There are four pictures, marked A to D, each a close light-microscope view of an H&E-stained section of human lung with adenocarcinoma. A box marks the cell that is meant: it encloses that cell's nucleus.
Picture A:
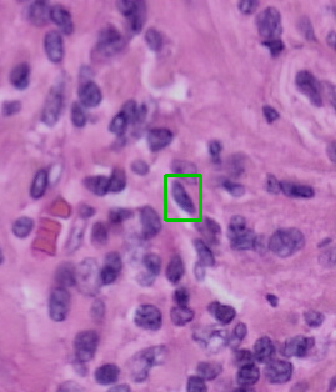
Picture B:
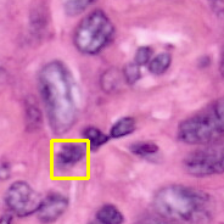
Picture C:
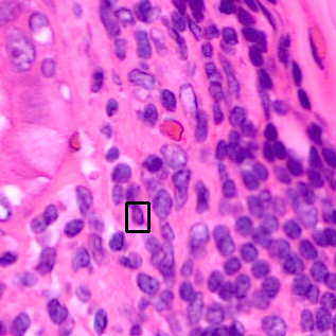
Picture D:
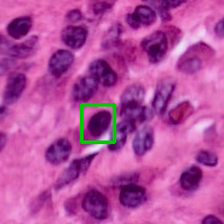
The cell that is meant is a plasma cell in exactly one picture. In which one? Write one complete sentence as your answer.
The plasma cell is the one in picture D.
